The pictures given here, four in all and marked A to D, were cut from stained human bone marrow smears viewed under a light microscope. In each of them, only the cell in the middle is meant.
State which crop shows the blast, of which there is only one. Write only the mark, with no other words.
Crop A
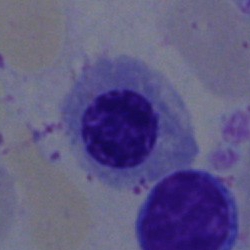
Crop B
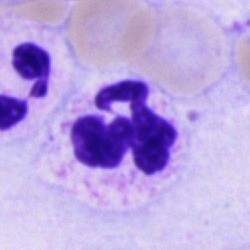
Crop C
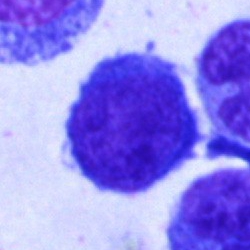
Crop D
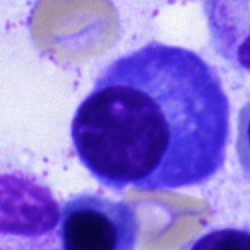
C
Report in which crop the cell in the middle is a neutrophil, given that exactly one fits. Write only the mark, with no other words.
B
